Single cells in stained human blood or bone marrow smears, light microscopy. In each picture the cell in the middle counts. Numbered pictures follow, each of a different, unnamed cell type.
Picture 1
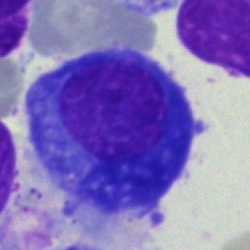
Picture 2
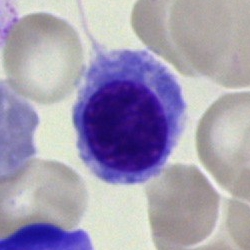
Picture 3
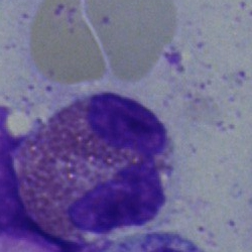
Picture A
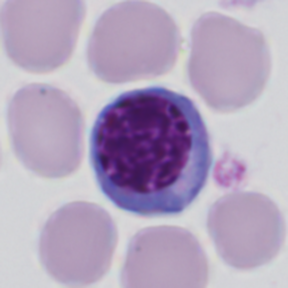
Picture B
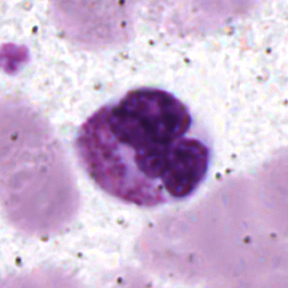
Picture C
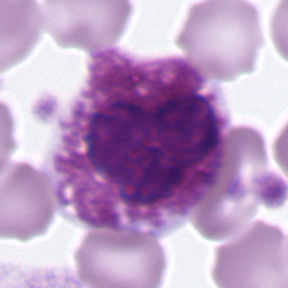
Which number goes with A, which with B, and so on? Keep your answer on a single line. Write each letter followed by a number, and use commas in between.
A 2, B 3, C 3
